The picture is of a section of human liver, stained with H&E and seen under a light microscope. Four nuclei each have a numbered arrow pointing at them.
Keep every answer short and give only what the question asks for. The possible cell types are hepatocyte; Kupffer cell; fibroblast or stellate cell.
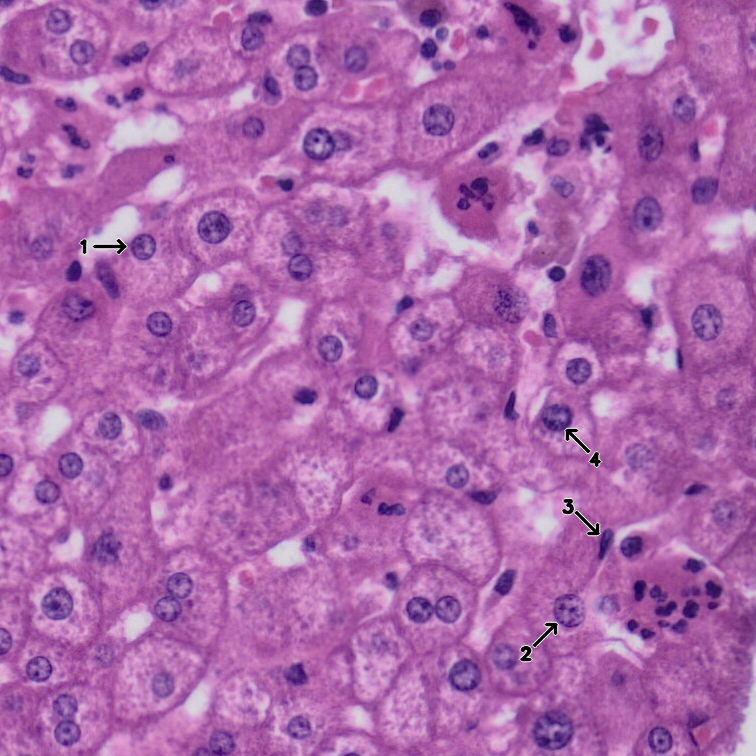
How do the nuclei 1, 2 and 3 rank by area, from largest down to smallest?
2, 1, 3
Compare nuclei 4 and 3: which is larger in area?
4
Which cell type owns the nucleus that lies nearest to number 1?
Kupffer cell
